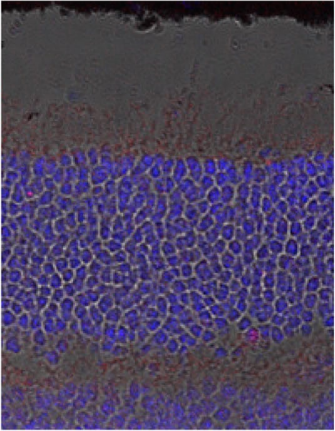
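This section of the outer retina shows the same layered arrangement but almost no red label. A grey band without nuclei at the top gives way to a faintly textured zone and then to a thick layer of many small round blue nuclei packed in rows, each outlined by thin pale borders. Beneath it a narrow band free of nuclei separates it from another layer of nuclei at the bottom. The packed nuclei are the outer nuclear layer of the photoreceptors, with the outer plexiform layer and inner nuclear layer below.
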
